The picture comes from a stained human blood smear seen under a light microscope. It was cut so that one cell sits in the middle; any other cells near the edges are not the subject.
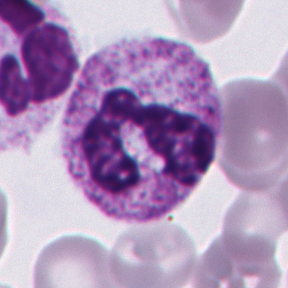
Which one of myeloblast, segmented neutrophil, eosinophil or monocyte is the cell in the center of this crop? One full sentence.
The centrally placed cell is classified as a segmented neutrophil.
